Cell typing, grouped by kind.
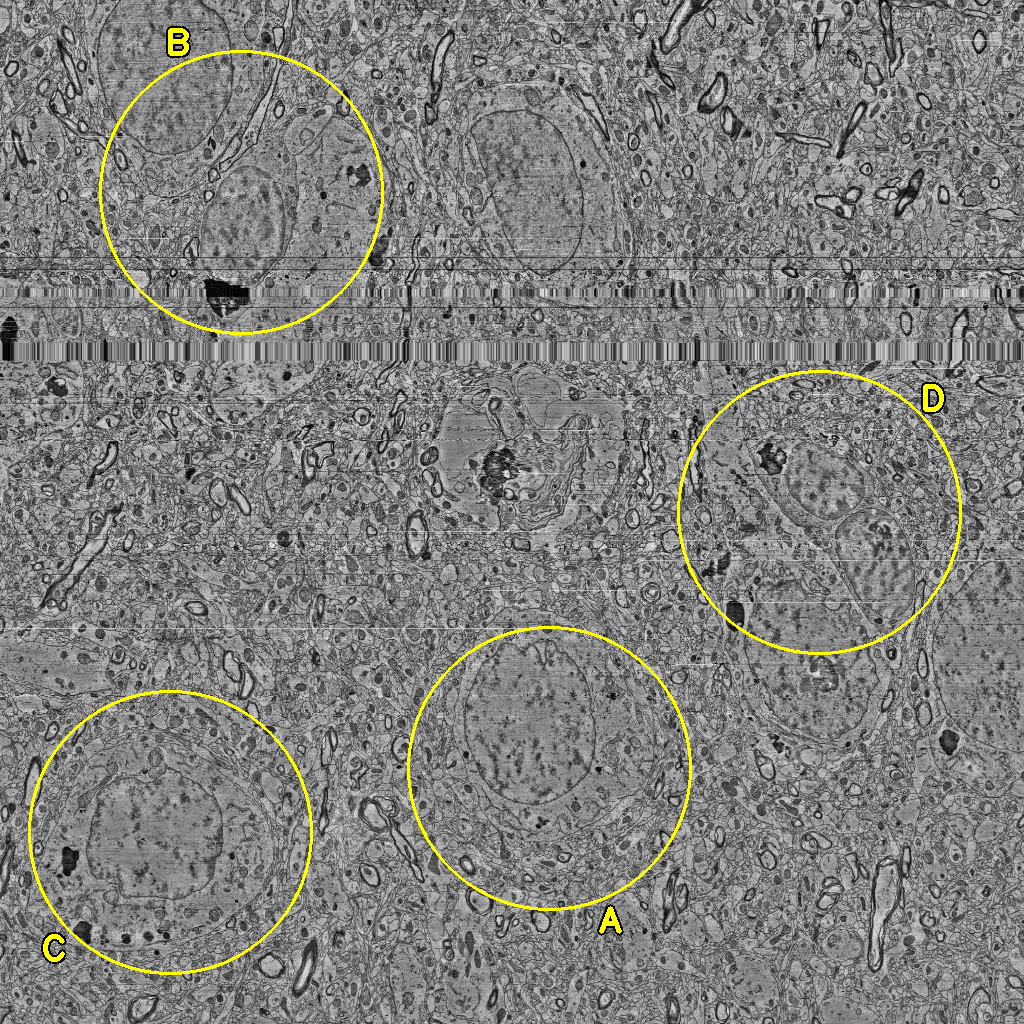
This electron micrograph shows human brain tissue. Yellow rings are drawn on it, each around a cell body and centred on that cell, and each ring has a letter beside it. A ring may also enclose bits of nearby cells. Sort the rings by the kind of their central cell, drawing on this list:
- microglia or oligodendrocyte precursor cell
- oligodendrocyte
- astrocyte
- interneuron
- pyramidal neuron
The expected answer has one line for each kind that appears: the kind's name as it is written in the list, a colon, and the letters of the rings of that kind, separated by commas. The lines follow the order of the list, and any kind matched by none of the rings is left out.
oligodendrocyte: B, D
pyramidal neuron: A, C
